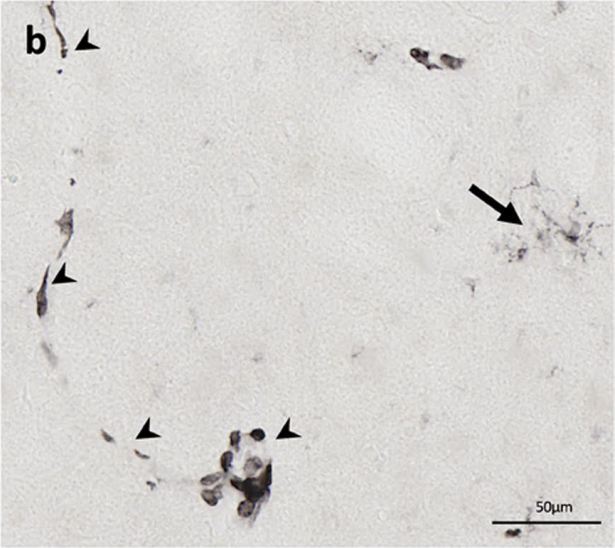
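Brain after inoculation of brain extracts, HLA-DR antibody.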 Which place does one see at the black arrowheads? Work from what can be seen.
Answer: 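Vasculature. Elongated dark-stained cells lined up along a curving track. A cluster of rounded dark cells sits at one point along the track. The arrowheaded cells lack the fine branching of the cell at the arrow.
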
